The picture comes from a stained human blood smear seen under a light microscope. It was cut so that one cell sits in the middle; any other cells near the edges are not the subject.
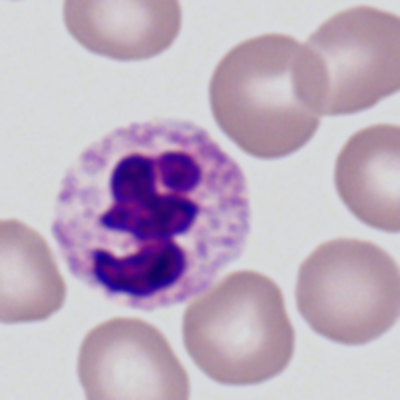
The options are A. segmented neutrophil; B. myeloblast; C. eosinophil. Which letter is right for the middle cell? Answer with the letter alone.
A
